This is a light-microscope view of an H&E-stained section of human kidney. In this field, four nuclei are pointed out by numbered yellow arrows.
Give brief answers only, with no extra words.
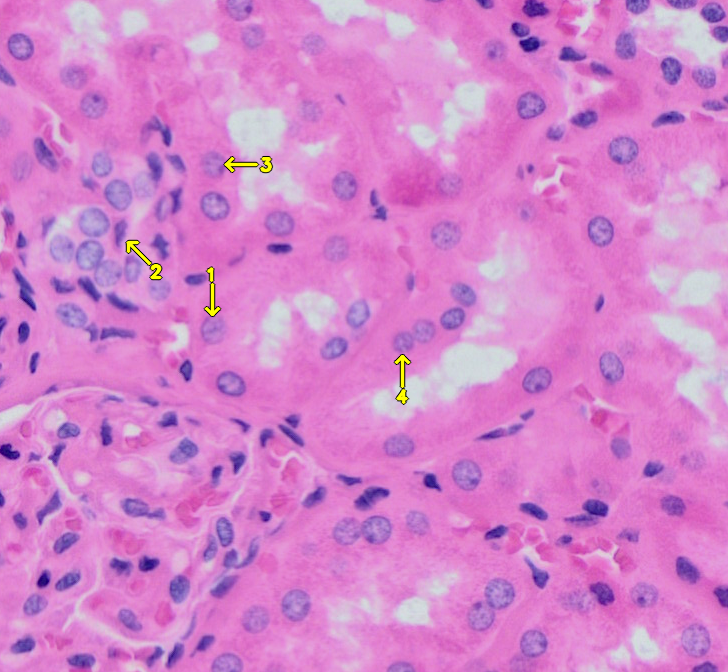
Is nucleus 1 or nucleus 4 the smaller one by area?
4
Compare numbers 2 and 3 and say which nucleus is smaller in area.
2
